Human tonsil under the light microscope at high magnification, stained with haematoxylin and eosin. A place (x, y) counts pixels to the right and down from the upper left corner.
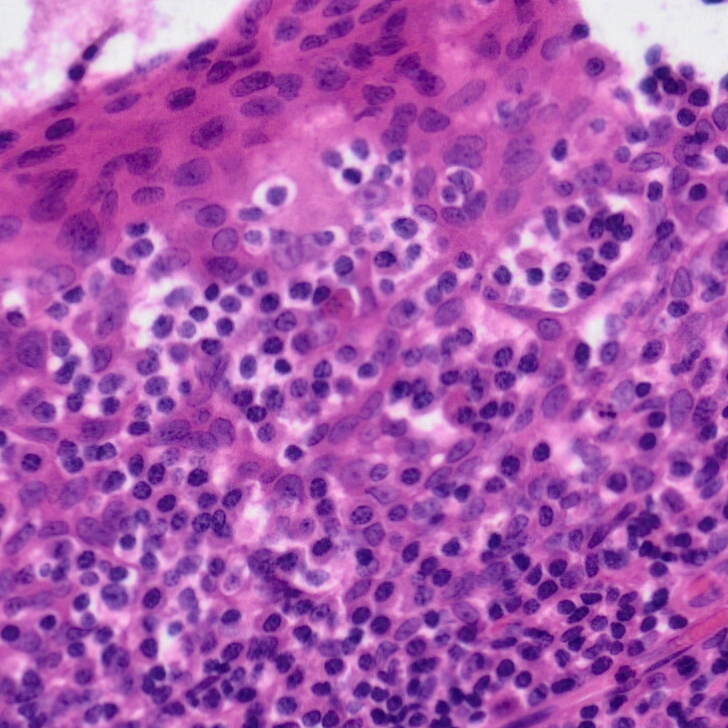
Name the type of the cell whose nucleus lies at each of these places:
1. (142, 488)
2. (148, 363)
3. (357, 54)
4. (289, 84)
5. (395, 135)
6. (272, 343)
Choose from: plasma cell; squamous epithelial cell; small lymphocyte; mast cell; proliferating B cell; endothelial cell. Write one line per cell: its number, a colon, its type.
1: plasma cell
2: plasma cell
3: squamous epithelial cell
4: squamous epithelial cell
5: squamous epithelial cell
6: plasma cell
